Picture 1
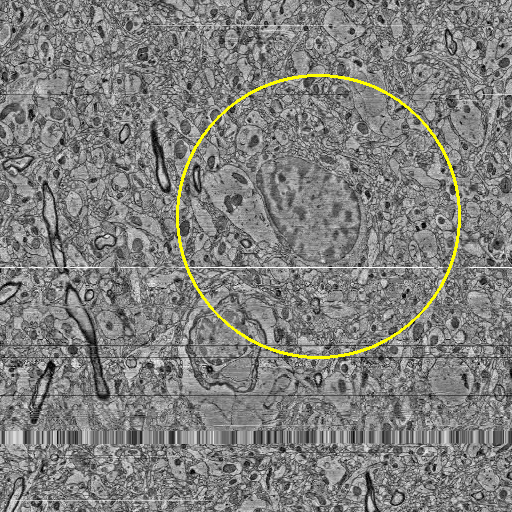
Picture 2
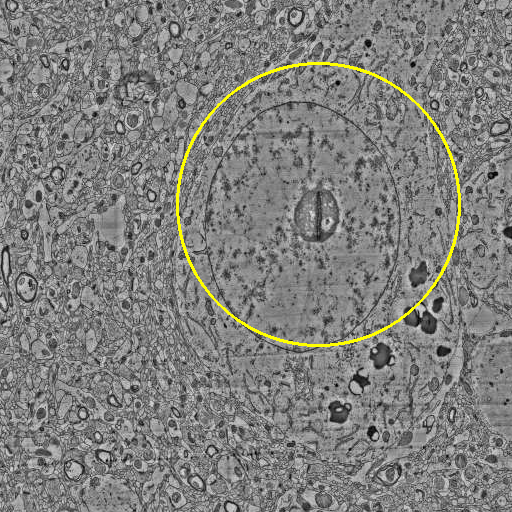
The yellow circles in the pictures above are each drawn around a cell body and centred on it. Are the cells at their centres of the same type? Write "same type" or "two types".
two types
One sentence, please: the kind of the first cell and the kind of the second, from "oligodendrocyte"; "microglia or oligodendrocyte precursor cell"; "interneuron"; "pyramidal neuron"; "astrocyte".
The ring in the first picture surrounds an oligodendrocyte, and the ring in the second surrounds a pyramidal neuron.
